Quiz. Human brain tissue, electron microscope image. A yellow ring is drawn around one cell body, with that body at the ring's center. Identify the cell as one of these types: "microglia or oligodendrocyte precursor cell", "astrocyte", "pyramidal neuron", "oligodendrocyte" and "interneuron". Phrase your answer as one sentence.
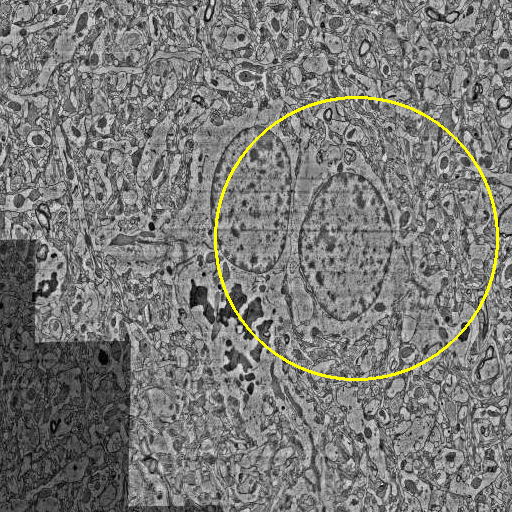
At the center of the ring sits an astrocyte.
